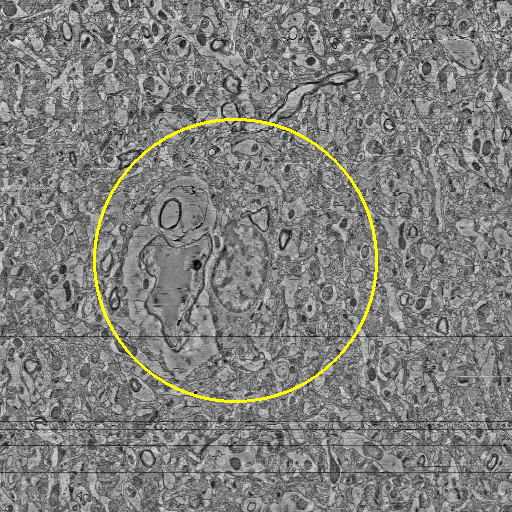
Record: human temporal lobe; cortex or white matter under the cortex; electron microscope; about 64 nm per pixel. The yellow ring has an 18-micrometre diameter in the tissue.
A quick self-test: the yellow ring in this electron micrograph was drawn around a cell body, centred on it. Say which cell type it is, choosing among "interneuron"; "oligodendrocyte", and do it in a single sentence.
The yellow-ringed cell is an oligodendrocyte.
